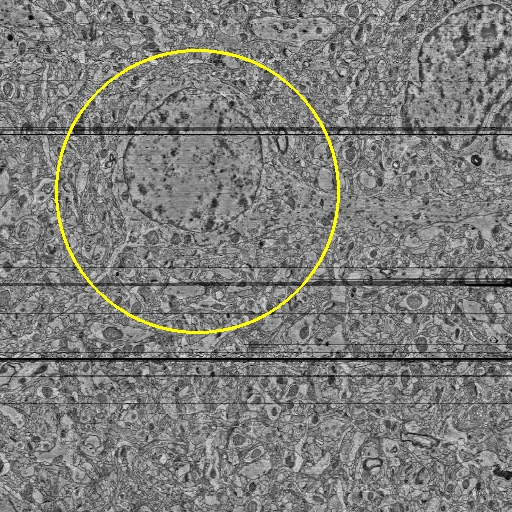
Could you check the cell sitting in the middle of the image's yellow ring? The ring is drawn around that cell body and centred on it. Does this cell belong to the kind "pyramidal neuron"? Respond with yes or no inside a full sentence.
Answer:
Yes, this cell in the middle of the yellow ring is one of that kind.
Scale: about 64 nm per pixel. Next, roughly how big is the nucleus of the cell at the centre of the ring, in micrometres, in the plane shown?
Approximately 9 micrometres across, in this plane.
